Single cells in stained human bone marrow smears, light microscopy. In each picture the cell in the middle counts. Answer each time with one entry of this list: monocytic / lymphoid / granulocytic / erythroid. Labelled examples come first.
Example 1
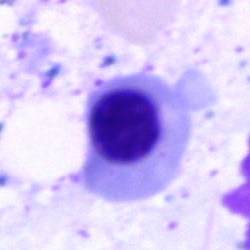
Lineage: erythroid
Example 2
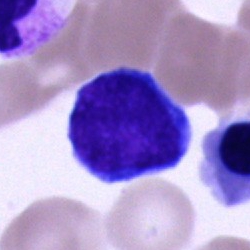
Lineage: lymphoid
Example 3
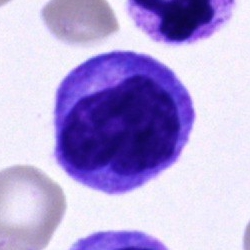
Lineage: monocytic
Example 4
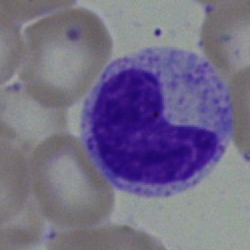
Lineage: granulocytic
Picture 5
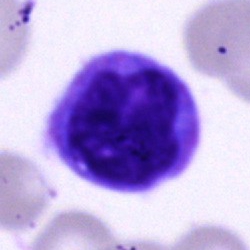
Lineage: monocytic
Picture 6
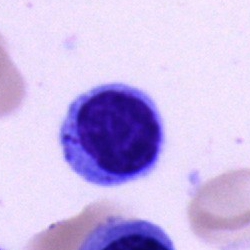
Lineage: lymphoid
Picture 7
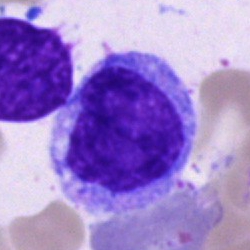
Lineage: monocytic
